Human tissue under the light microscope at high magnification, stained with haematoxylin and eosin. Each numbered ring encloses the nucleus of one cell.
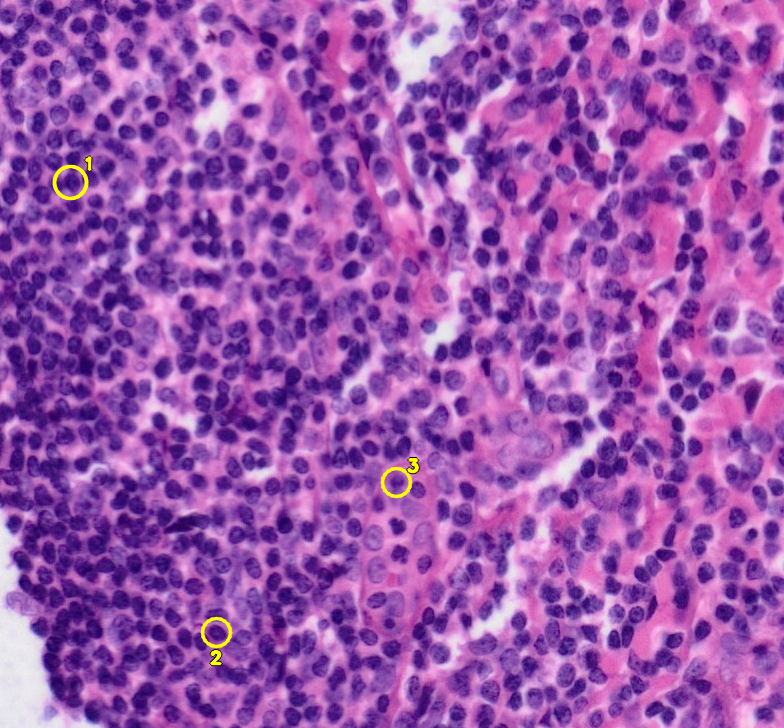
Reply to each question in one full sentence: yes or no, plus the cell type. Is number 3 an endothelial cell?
Yes, exactly, the cell numbered 3 is an endothelial cell.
